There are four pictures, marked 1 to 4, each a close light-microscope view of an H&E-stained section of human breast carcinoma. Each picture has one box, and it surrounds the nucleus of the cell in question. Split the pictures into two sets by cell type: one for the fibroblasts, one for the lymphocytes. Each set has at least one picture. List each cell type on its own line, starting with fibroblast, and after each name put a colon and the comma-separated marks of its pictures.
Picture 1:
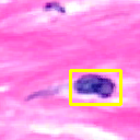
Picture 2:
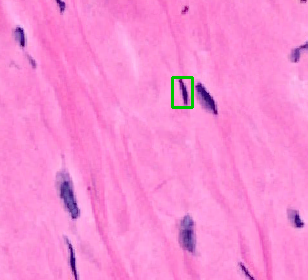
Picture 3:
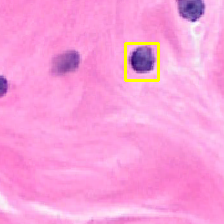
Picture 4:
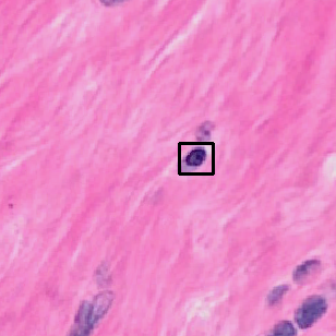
fibroblast: 2
lymphocyte: 1, 3, 4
